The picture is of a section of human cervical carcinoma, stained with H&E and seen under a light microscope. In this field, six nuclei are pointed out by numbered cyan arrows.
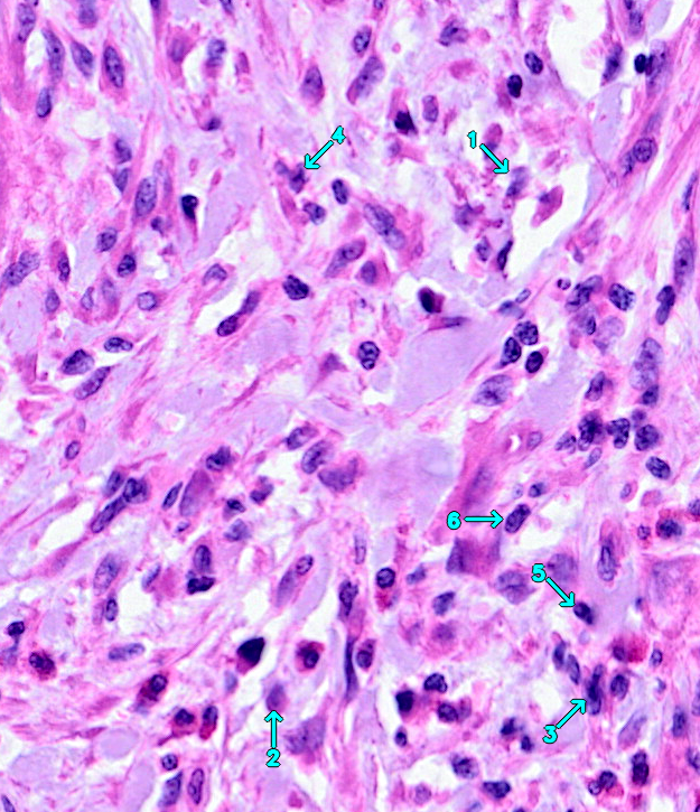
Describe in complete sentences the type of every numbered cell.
Cell 1 is a fibroblast, cell 2 is a macrophage or monocyte, cell 3 is a lymphocyte, cell 4 is a macrophage or monocyte, cell 5 is a lymphocyte and cell 6 is a lymphocyte.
